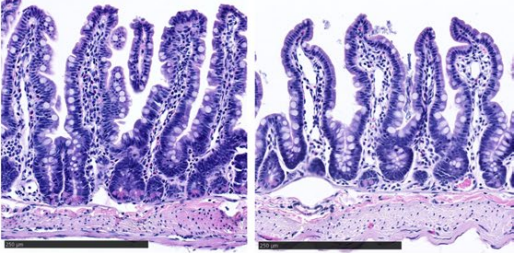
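Two side-by-side sections of small intestine mucosa stained purple and pink. Both show rows of finger-like villi rising from the mucosal surface. Each villus is covered by a single layer of tall columnar epithelial cells with dark, elongated nuclei lined up near the base of the cells. Pale, rounded goblet cells are scattered among them. The villus cores hold loose connective tissue with many small dark nuclei. At the base of the villi lie short tubular crypts packed with densely stained cells. Below the crypts, a thin pink band of smooth muscle forms the outer wall. Slender, elongated nuclei are scattered through this muscle layer.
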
